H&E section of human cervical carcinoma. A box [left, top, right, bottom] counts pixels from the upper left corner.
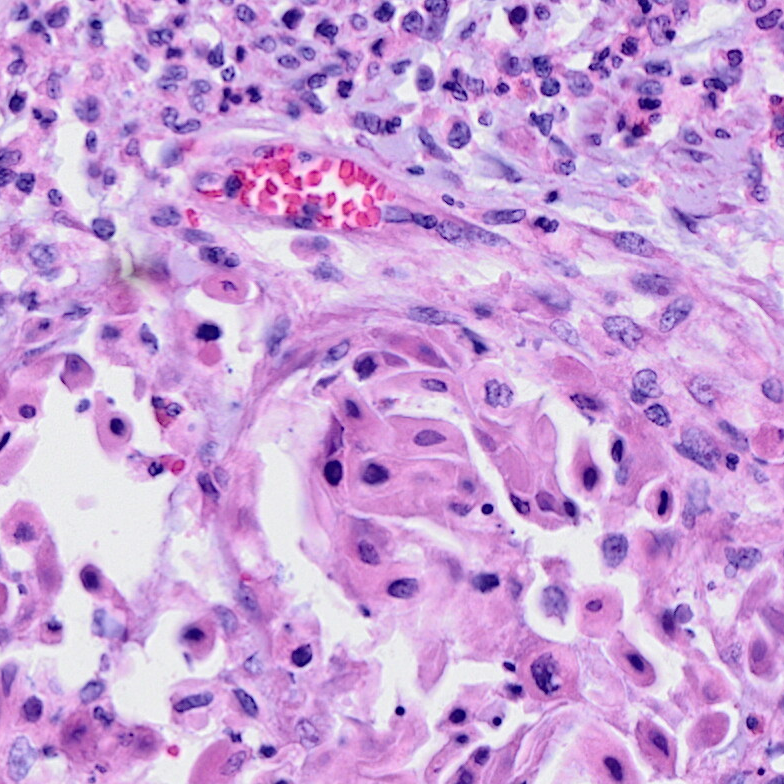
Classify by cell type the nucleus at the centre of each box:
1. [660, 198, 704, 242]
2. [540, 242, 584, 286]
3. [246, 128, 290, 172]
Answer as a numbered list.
1. fibroblast
2. fibroblast
3. endothelial cell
